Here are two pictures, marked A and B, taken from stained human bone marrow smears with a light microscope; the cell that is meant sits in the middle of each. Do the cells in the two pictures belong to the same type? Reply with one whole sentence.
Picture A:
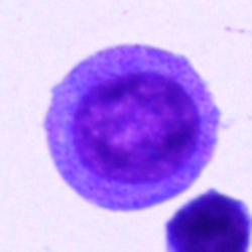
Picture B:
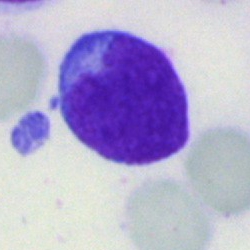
No, the types are not the same, since picture A shows a promyelocyte and picture B a blast.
